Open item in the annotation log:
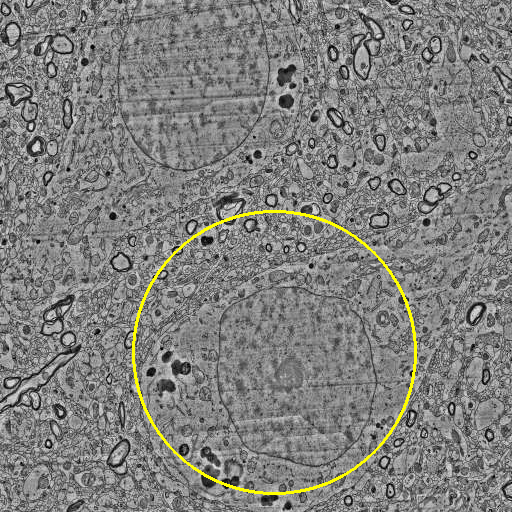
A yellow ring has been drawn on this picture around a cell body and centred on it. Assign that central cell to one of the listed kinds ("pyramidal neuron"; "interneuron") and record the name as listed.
pyramidal neuron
